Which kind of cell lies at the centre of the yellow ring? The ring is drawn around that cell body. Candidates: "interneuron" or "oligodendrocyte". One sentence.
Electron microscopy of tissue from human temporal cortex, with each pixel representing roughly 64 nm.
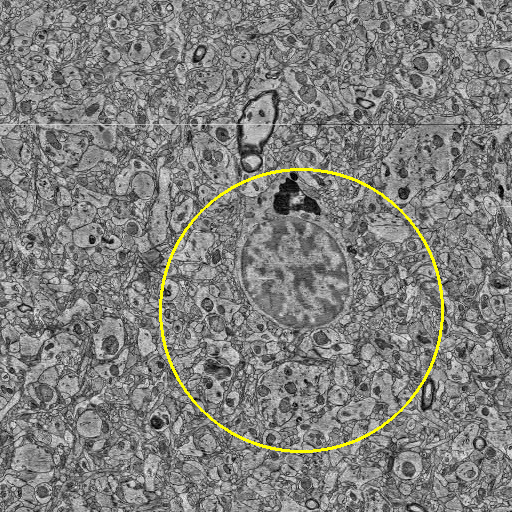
Lying at the centre of the ring is an oligodendrocyte.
